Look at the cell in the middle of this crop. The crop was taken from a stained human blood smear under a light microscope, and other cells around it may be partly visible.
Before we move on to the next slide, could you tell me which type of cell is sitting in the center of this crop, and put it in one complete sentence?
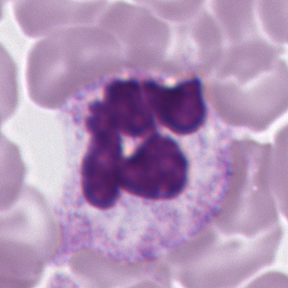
To answer, the cell in the center of the crop is a segmented neutrophil.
